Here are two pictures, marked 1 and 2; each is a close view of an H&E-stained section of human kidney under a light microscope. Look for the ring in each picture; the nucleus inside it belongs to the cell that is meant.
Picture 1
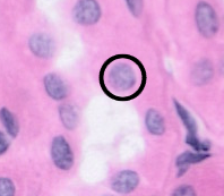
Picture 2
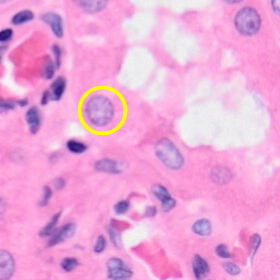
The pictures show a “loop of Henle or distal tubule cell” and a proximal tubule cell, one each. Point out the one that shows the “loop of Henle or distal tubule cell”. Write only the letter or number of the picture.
1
